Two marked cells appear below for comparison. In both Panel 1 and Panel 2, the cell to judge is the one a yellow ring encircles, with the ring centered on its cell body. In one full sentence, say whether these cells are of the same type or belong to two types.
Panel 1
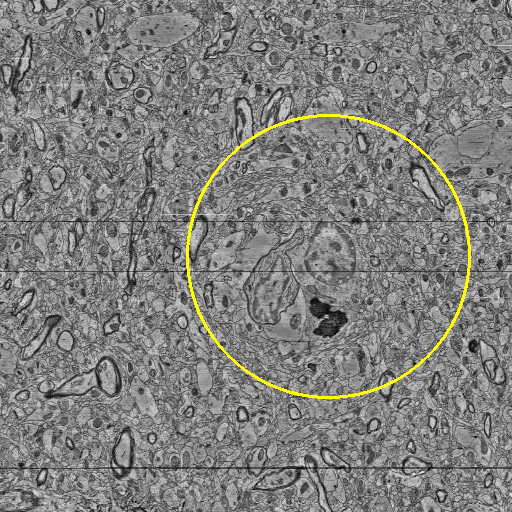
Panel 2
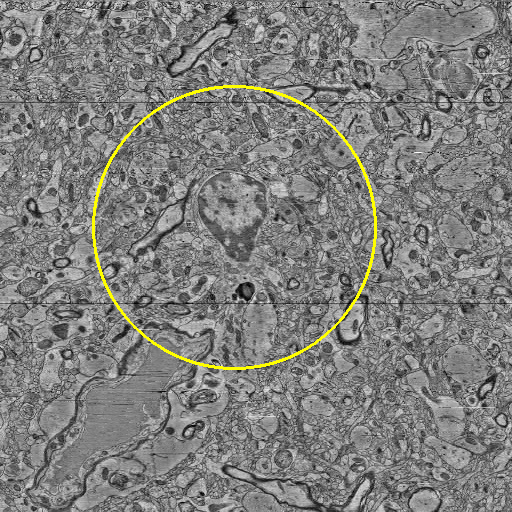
The cell centered in the Panel 1 ring and the one in Panel 2 belong to two types.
